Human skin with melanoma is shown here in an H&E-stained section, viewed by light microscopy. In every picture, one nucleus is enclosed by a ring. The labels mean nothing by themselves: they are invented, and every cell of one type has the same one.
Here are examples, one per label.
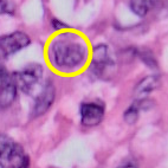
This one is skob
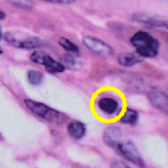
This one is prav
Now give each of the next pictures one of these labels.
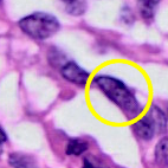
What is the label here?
skob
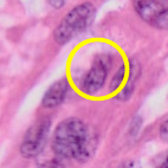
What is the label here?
skob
